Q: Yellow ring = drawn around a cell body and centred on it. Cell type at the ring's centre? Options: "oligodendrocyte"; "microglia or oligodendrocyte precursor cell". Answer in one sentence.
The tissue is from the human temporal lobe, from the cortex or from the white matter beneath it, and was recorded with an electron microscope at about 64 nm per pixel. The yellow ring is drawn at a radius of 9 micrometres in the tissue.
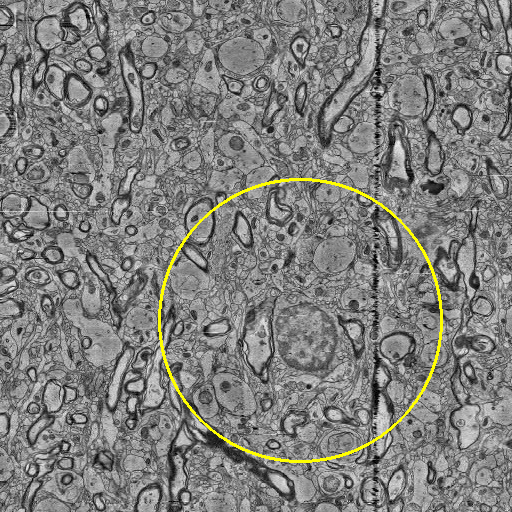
Centred in the ring is an oligodendrocyte.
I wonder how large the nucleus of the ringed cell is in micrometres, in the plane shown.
Approximately 5 micrometres long and 4 micrometres wide, in this plane.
